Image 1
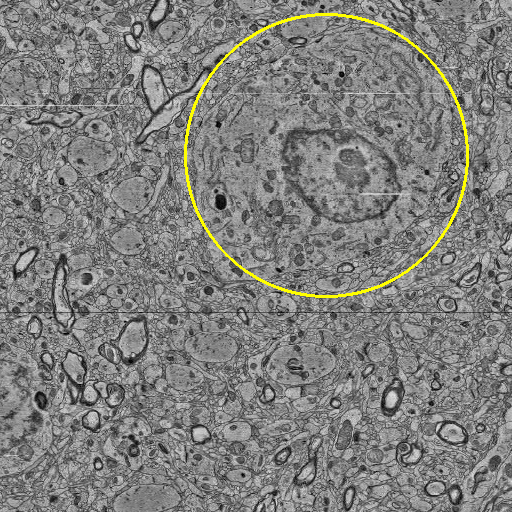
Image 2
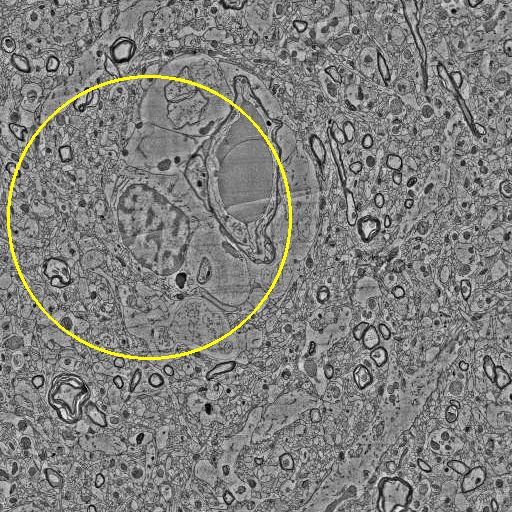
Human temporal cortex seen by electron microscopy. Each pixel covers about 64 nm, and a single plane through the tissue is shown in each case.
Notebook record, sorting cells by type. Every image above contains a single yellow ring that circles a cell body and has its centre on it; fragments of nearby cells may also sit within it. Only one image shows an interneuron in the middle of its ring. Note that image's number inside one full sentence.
For image 1, the cell in the middle of its yellow ring is the match.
